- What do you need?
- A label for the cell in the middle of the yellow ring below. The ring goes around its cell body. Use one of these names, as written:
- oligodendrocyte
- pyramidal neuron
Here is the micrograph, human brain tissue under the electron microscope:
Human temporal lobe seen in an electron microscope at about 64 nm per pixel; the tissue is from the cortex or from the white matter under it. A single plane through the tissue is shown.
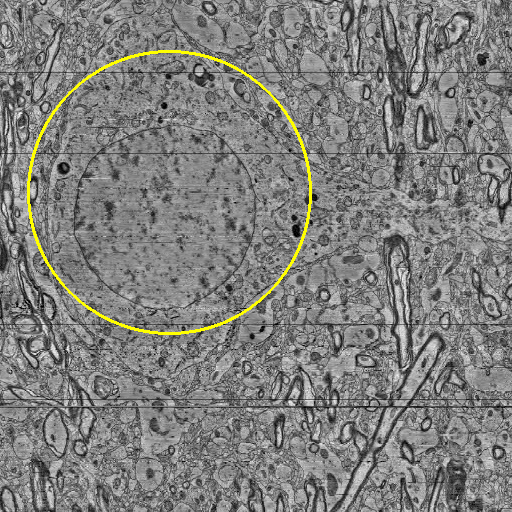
pyramidal neuron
